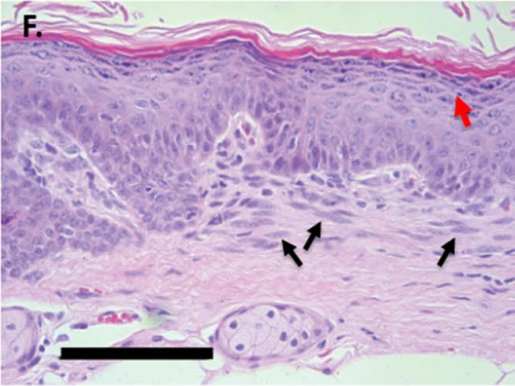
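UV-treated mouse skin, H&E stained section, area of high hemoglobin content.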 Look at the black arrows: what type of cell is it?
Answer: Unusual dermal cells with enlarged, cigar-shaped nuclei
